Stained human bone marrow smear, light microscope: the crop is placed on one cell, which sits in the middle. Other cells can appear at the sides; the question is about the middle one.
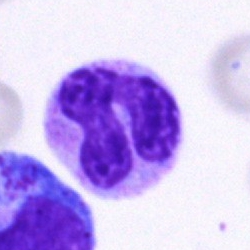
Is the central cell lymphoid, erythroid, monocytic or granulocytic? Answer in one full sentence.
As for the cell in the middle, its lineage is granulocytic.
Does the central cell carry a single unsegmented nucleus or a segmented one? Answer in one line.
Counting the nuclear lobes gives a total of at least two.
